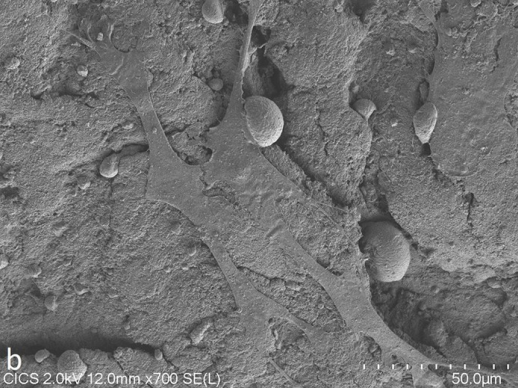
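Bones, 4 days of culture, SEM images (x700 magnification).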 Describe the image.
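One flattened cell spreads over the rough, cracked substrate and stretches long, thin, sheet-like processes in several directions. A few small rounded bodies sit on the surface beside it.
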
